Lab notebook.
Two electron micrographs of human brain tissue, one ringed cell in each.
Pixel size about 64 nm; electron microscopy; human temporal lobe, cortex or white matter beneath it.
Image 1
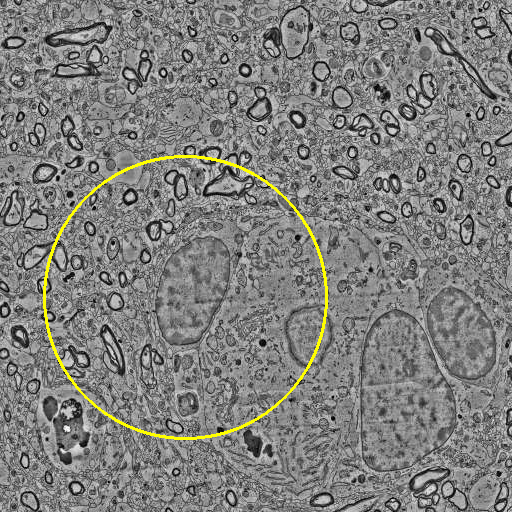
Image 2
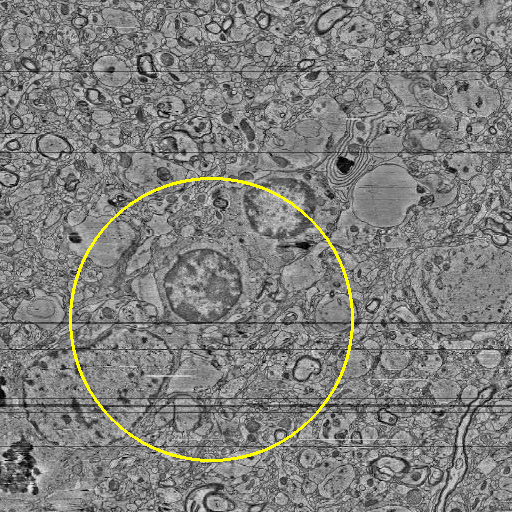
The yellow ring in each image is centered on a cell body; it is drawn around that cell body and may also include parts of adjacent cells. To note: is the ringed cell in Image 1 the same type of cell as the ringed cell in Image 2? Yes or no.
yes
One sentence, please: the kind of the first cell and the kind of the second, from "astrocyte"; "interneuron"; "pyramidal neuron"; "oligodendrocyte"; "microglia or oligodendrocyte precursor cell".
The cell at the ring centre is an oligodendrocyte in both pictures.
